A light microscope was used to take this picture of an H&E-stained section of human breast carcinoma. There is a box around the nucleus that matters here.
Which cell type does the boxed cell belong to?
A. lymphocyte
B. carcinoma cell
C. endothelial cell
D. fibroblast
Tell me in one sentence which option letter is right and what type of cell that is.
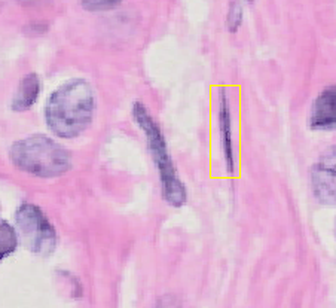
Option D describes the boxed cell accurately as a fibroblast.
